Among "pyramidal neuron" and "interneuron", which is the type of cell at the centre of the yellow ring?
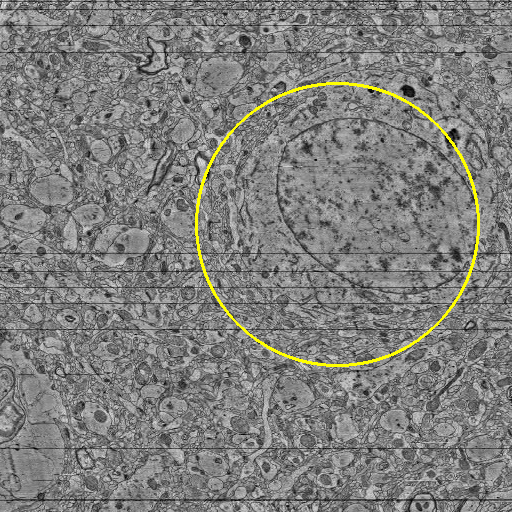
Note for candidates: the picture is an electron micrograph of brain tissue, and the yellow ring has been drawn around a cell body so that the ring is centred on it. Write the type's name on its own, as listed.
pyramidal neuron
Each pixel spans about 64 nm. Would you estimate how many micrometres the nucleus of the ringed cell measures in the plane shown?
In this plane, the nucleus is roughly 14 by 11 micrometres.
